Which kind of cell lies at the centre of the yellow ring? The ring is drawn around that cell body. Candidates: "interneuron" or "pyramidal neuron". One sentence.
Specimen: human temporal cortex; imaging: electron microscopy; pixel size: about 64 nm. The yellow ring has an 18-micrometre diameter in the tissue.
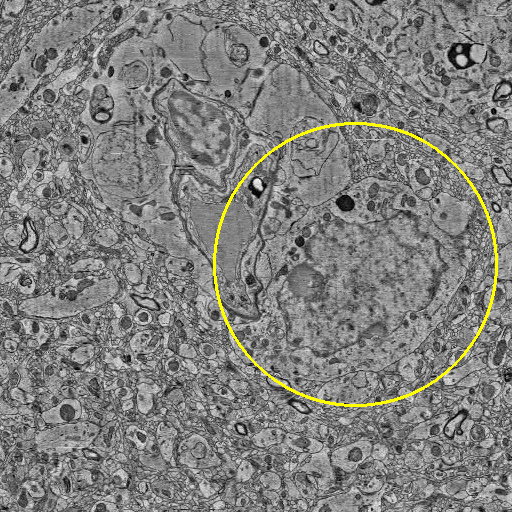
Lying at the centre of the ring is an interneuron.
